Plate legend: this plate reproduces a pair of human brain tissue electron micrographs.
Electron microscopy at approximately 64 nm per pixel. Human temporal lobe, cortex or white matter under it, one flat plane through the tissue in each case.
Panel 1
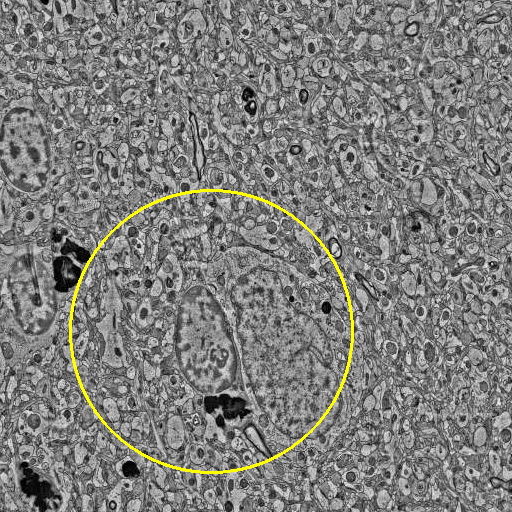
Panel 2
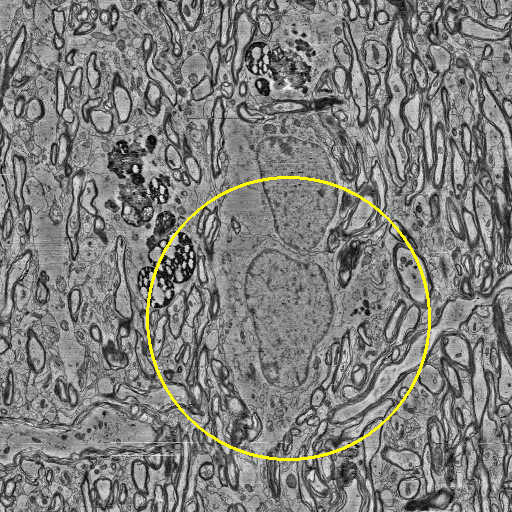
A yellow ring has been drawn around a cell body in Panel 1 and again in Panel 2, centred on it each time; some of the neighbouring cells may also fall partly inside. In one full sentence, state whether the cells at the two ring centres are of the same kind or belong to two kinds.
The ring-centred cells of Panel 1 and Panel 2 belong to two kinds.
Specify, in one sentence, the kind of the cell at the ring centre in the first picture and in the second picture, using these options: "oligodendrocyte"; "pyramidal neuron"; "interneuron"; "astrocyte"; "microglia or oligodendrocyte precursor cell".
So the first is an oligodendrocyte, the second an astrocyte.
